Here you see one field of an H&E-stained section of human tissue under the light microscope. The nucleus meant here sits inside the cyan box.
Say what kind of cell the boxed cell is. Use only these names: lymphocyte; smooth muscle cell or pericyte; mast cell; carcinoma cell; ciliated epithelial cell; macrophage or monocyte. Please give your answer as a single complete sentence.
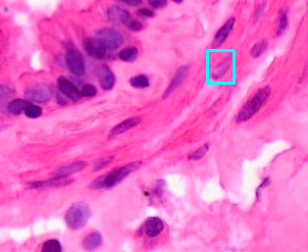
Speaking plainly, the boxed cell is nothing other than a smooth muscle cell or pericyte.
